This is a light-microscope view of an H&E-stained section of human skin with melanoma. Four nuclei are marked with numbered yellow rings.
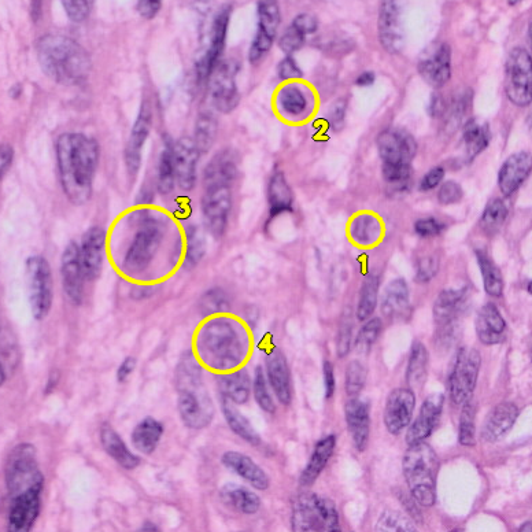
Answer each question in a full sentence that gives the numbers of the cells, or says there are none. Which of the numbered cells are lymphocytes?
Cell 2 is a lymphocyte, and it is the only numbered cell that is.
